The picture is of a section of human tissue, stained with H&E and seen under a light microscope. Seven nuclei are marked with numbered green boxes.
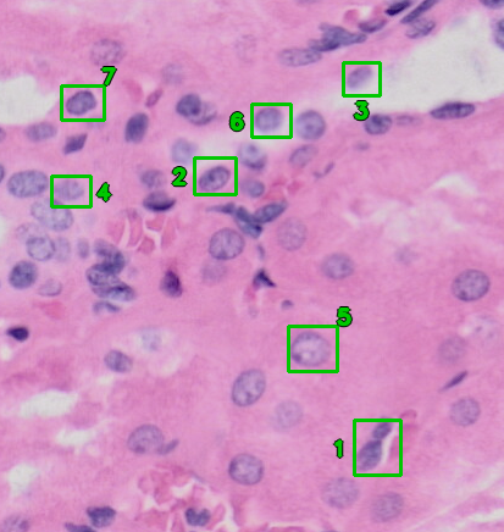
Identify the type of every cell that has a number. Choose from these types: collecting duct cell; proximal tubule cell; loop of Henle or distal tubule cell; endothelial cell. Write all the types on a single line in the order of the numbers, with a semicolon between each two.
endothelial cell; loop of Henle or distal tubule cell; loop of Henle or distal tubule cell; collecting duct cell; proximal tubule cell; loop of Henle or distal tubule cell; loop of Henle or distal tubule cell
